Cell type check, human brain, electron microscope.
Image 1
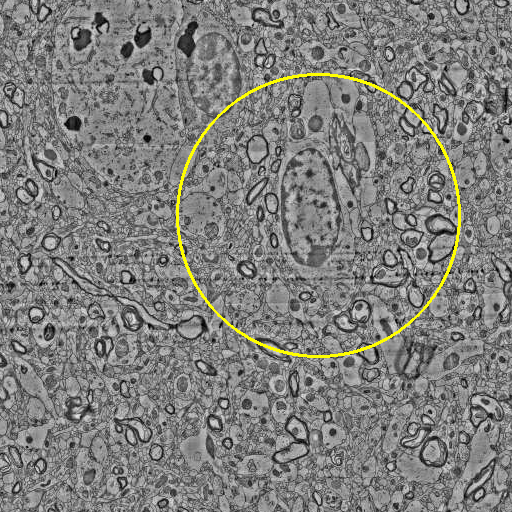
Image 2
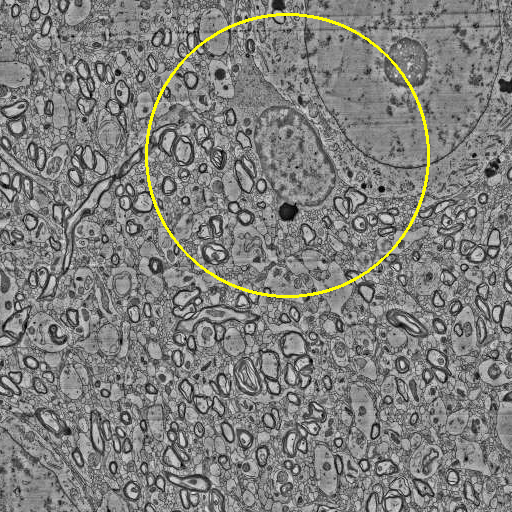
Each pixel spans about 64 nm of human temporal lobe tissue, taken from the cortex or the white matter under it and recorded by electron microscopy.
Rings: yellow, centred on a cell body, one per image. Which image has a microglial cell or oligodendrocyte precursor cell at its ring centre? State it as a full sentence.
The ring in Image 1 is centred on it.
